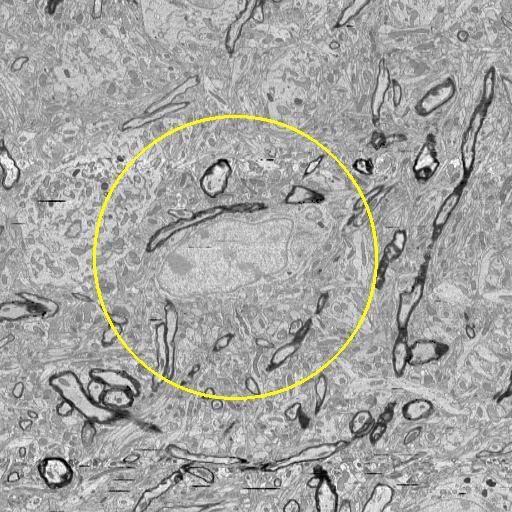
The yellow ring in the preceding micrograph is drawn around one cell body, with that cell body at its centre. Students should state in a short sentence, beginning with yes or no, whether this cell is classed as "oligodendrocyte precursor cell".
Yes, this cell is of that type.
